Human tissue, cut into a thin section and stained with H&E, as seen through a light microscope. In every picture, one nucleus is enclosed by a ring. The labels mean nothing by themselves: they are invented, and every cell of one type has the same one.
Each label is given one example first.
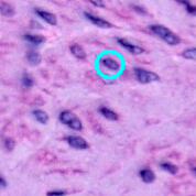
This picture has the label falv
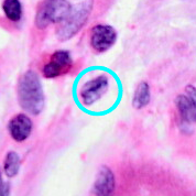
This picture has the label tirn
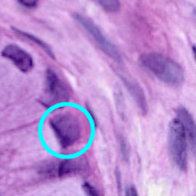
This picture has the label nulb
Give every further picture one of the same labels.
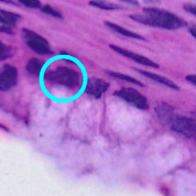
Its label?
nulb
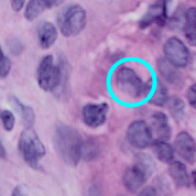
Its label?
nulb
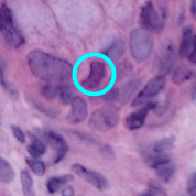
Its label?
nulb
